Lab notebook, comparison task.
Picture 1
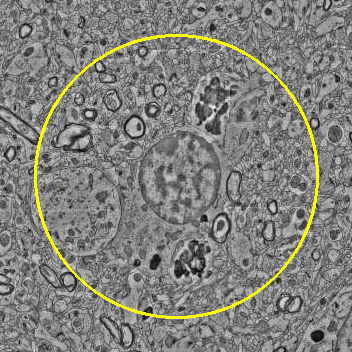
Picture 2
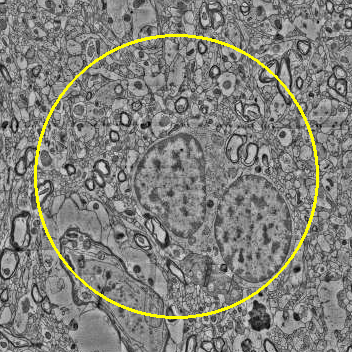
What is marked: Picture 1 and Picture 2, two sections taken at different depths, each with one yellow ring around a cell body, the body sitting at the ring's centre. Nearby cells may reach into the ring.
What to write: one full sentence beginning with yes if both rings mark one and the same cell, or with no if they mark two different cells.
No, the two circled cells are distinct from one another.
